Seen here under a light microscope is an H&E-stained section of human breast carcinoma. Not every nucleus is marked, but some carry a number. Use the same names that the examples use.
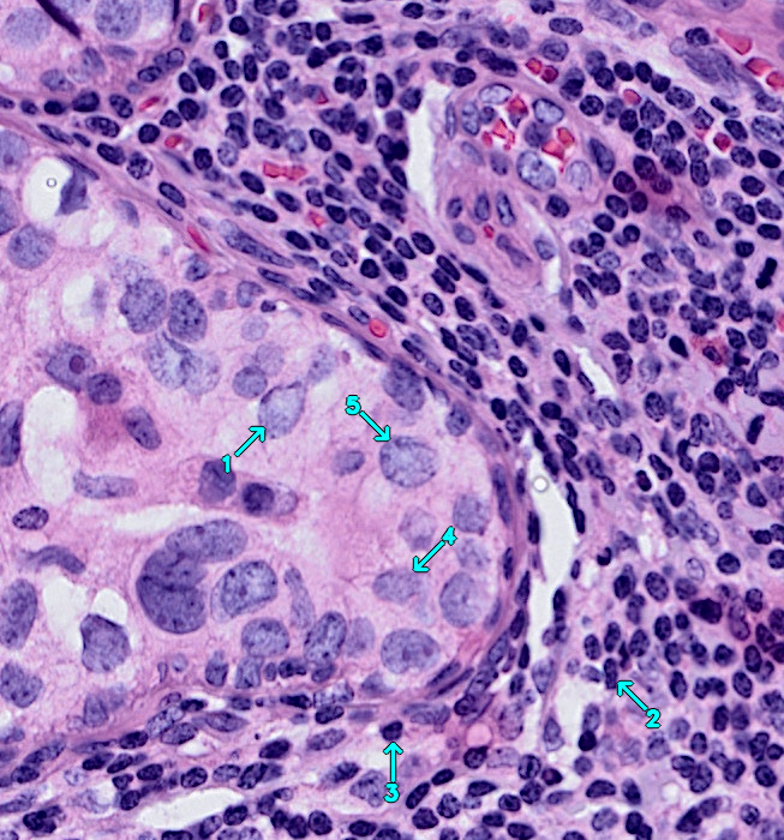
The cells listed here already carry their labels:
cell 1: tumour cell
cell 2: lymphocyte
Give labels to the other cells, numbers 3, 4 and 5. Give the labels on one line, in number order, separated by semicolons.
lymphocyte; tumour cell; tumour cell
